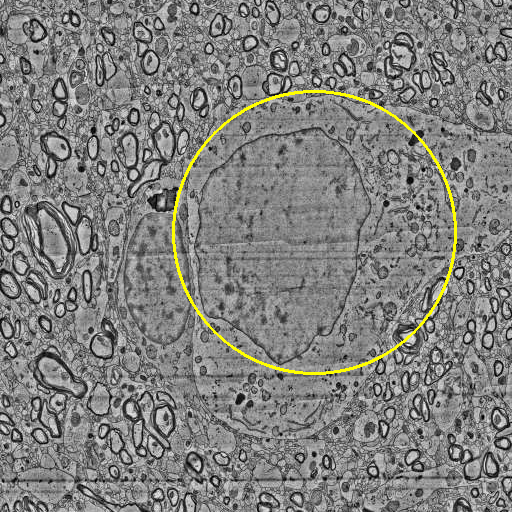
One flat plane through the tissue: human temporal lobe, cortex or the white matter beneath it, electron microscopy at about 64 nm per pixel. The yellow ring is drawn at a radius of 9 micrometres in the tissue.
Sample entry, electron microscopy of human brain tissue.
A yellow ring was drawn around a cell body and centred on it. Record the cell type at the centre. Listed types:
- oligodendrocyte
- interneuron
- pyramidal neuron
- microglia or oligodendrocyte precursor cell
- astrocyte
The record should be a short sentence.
The cell at the ring's centre is a pyramidal neuron.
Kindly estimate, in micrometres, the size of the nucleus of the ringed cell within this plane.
Roughly 15 micrometres by 11 micrometres, in this plane.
